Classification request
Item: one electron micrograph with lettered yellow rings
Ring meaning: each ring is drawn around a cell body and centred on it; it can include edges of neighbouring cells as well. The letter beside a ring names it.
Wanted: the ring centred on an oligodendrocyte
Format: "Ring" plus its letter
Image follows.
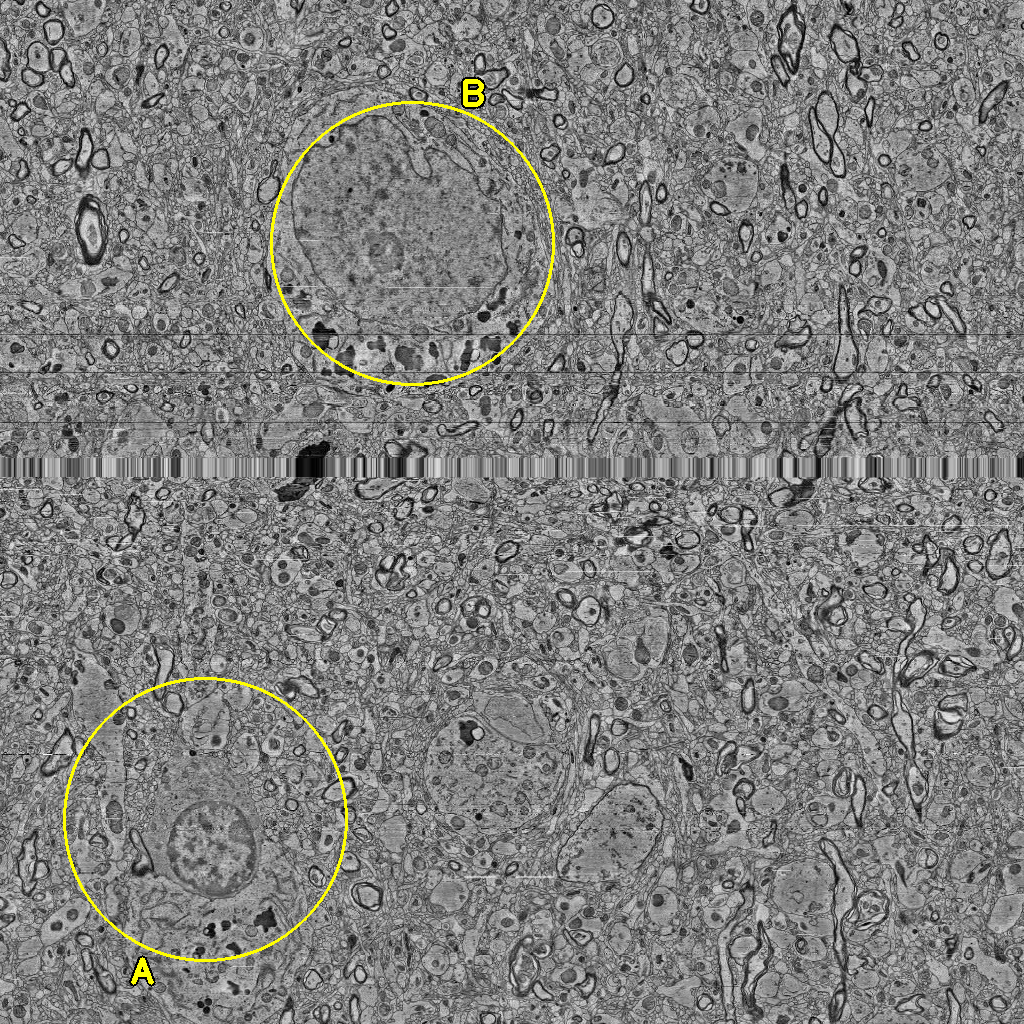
Ring A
